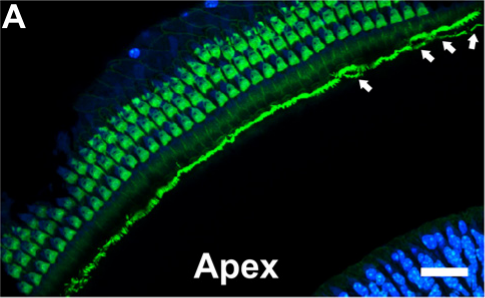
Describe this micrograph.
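This is a surface view of the cochlear sensory epithelium, with many cells lined up in several parallel rows that run diagonally across the field. Along the lower edge of the rows runs a thin, wavy bright green line, and the arrows point to this delicate line and its small loops. Blue nuclei appear in the lower right corner, in tissue lying outside the green rows.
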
